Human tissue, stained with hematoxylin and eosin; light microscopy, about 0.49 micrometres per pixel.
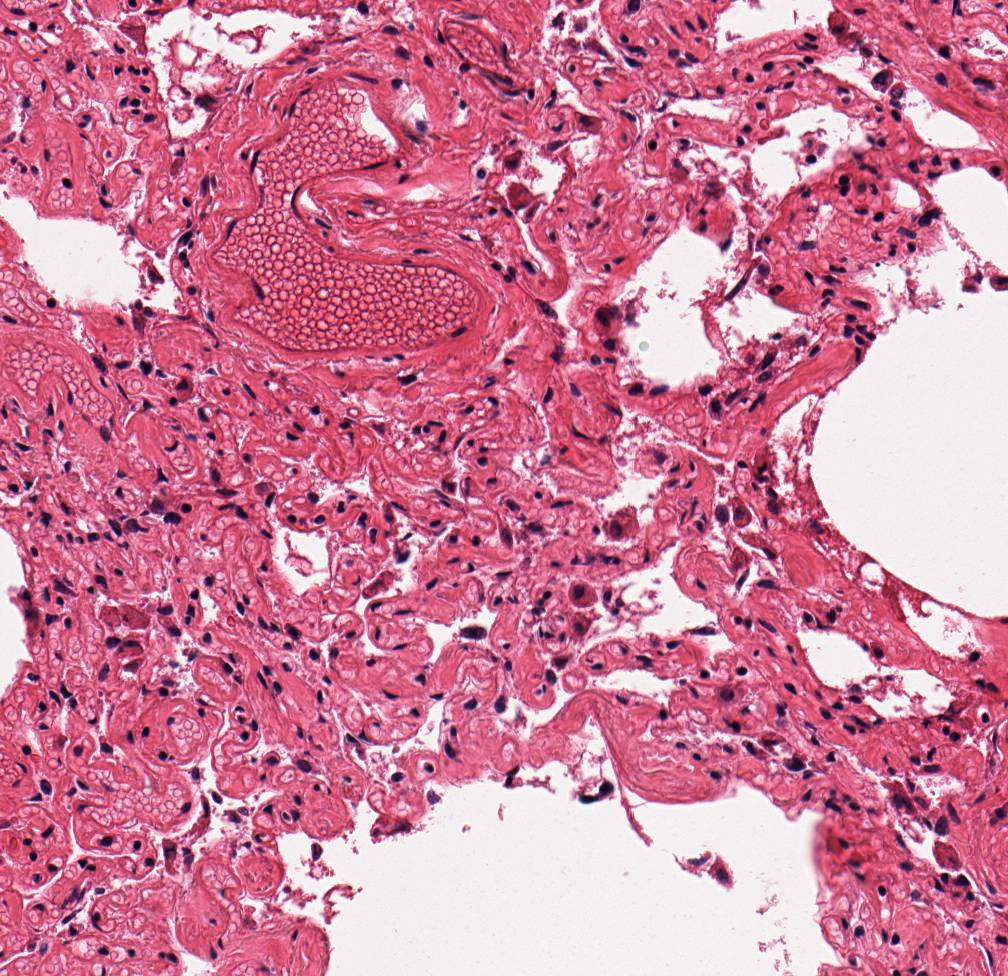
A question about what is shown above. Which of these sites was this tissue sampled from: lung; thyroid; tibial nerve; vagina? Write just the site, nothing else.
lung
